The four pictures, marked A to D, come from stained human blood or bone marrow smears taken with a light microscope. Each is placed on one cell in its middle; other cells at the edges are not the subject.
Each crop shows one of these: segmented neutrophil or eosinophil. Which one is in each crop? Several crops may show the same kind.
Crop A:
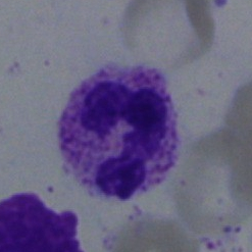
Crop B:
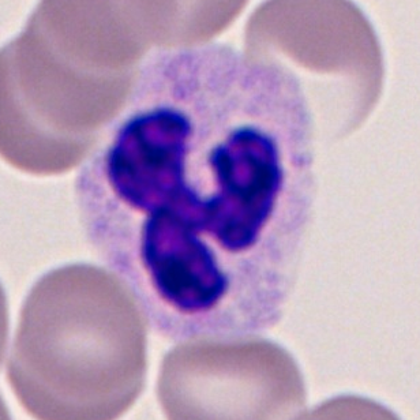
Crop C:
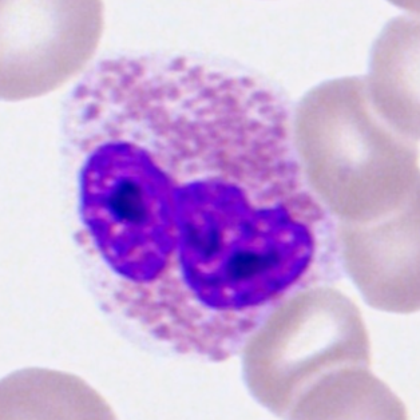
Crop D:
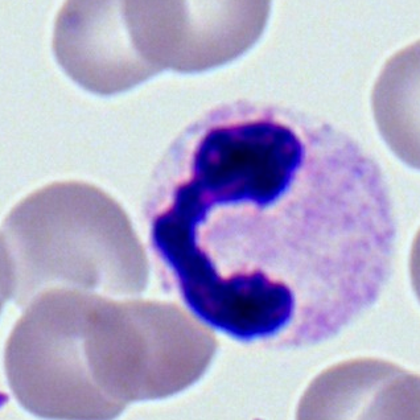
A: segmented neutrophil
B: segmented neutrophil
C: eosinophil
D: segmented neutrophil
